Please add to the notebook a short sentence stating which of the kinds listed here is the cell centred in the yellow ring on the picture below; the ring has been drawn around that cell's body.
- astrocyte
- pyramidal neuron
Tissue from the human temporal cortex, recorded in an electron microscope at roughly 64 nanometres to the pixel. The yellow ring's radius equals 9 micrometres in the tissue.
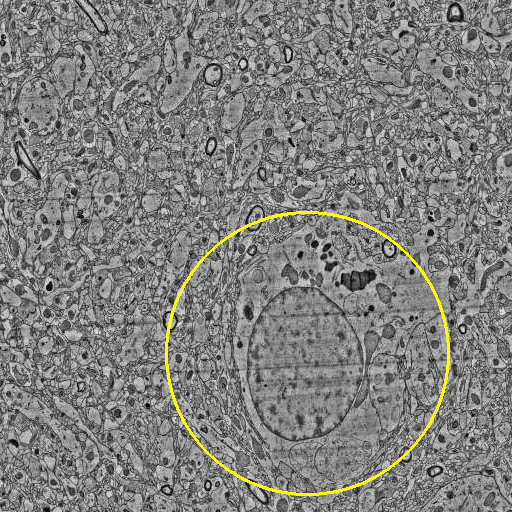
The cell centred in the yellow ring is an astrocyte.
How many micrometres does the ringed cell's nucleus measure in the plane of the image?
In this plane, approximately 10 by 8 micrometers.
